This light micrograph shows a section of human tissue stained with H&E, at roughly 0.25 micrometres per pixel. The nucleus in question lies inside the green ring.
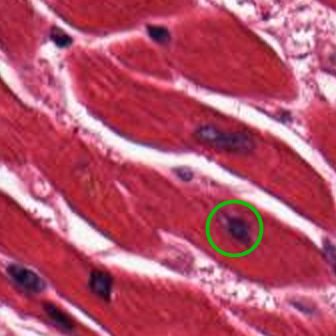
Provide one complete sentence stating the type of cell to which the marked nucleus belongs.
The cell that the marked nucleus belongs to is a cardiomyocyte.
